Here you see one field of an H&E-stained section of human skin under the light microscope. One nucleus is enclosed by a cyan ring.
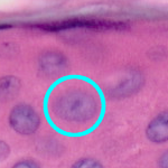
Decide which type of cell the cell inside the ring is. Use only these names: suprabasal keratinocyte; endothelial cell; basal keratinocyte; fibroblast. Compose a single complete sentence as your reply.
In the context of this tissue, the cell inside the ring is a suprabasal keratinocyte.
